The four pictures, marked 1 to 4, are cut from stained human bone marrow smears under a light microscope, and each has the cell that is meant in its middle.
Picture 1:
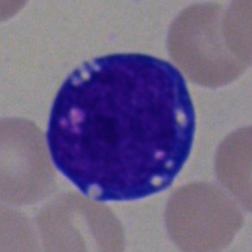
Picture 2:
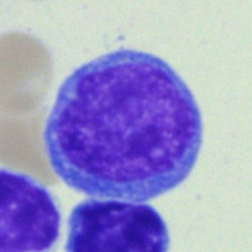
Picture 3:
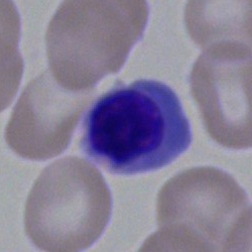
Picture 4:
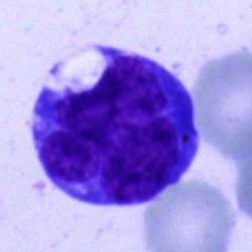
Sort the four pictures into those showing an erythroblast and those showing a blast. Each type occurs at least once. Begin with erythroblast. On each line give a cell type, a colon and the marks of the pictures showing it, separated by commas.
erythroblast: 3
blast: 1, 2, 4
